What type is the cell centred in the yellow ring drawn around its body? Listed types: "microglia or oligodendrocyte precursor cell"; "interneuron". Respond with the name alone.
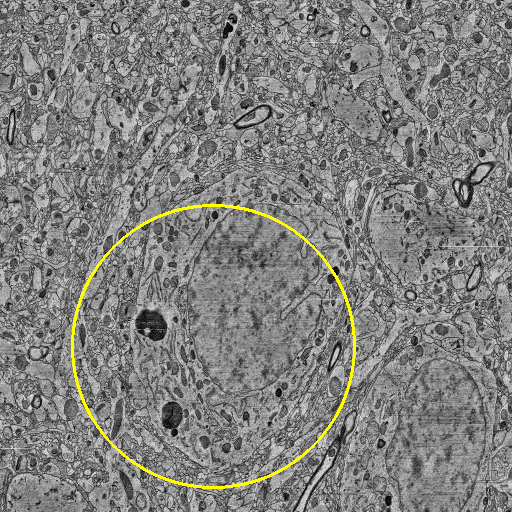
interneuron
